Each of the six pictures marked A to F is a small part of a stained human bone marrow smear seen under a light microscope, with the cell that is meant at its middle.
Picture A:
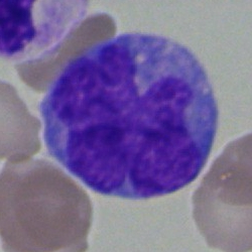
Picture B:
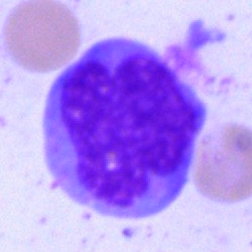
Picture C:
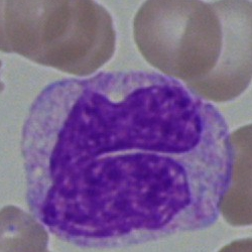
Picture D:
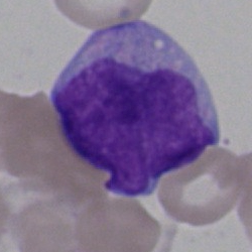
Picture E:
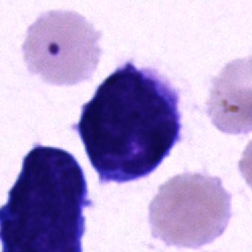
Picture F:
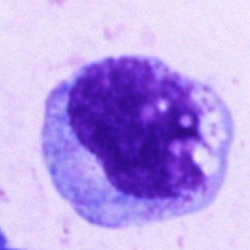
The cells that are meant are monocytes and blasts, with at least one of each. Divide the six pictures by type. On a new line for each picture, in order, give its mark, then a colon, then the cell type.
A: monocyte
B: monocyte
C: monocyte
D: blast
E: blast
F: monocyte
